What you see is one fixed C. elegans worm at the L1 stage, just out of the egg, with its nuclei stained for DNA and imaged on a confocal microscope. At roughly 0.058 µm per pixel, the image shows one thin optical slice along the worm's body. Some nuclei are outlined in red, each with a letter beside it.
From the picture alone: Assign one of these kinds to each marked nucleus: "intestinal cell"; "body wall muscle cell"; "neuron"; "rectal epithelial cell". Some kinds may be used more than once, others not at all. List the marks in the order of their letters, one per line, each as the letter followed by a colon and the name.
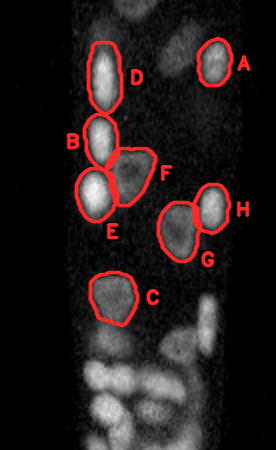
A: body wall muscle cell
B: neuron
C: intestinal cell
D: neuron
E: neuron
F: intestinal cell
G: intestinal cell
H: body wall muscle cell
